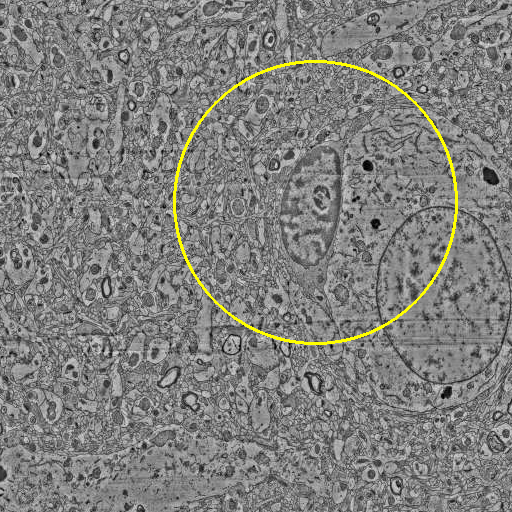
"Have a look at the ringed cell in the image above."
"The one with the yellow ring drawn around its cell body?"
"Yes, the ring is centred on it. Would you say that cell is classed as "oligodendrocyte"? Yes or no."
yes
